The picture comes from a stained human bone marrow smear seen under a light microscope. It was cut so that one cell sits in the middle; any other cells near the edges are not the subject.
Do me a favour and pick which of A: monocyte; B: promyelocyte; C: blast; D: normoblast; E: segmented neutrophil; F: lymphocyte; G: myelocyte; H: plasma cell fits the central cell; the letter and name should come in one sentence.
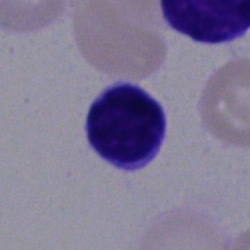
Option F holds up: the cell in the middle is a lymphocyte.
